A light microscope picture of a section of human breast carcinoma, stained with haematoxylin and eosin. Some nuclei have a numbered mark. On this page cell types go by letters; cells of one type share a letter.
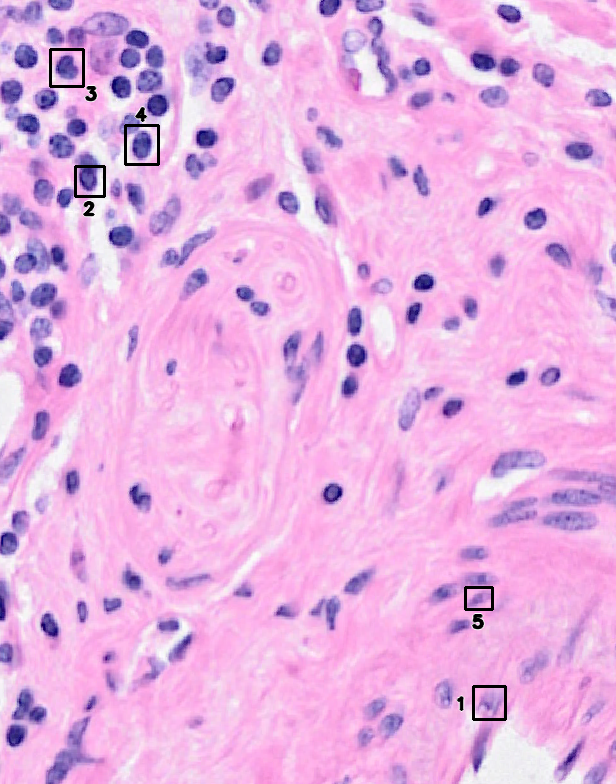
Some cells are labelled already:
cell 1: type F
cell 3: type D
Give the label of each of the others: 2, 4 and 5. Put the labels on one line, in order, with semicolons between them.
type D; type D; type F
